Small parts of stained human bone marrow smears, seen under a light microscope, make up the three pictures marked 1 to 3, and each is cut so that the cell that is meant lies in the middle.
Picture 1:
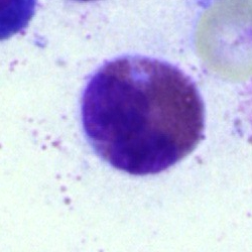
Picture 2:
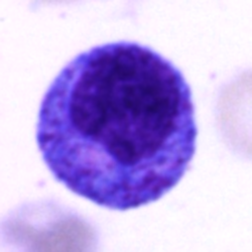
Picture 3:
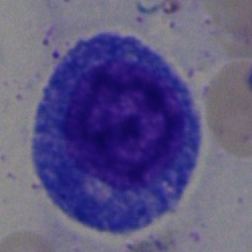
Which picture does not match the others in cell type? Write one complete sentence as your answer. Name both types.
All pictures except 1 show promyelocytes; picture 1 shows an eosinophil.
